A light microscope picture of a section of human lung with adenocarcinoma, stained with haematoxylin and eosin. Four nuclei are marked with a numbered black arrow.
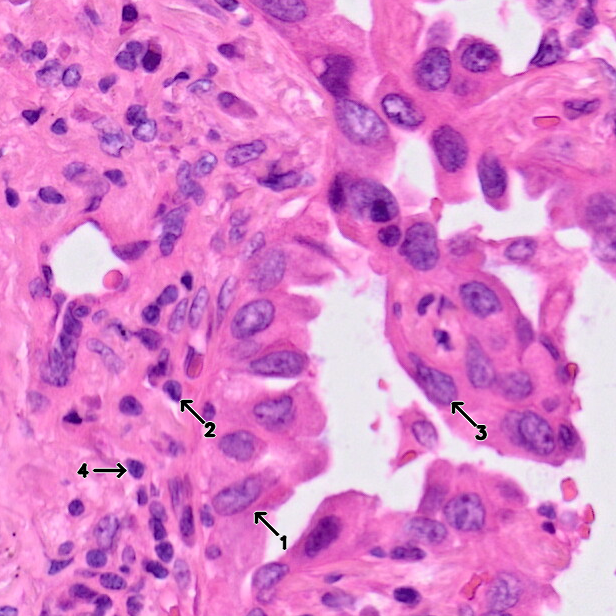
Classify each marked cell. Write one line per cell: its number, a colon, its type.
1: carcinoma cell
2: lymphocyte
3: carcinoma cell
4: lymphocyte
